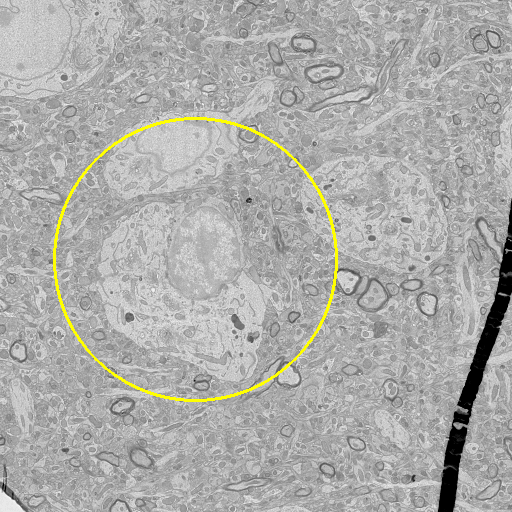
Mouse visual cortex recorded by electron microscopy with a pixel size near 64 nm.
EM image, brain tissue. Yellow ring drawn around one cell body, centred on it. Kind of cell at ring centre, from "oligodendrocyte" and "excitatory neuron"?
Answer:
oligodendrocyte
